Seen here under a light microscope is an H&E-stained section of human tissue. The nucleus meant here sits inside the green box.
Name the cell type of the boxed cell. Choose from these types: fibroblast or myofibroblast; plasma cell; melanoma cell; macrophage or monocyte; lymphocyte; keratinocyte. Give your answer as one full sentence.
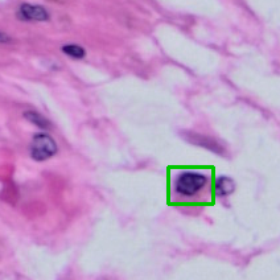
In this section, the boxed cell is a macrophage or monocyte.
